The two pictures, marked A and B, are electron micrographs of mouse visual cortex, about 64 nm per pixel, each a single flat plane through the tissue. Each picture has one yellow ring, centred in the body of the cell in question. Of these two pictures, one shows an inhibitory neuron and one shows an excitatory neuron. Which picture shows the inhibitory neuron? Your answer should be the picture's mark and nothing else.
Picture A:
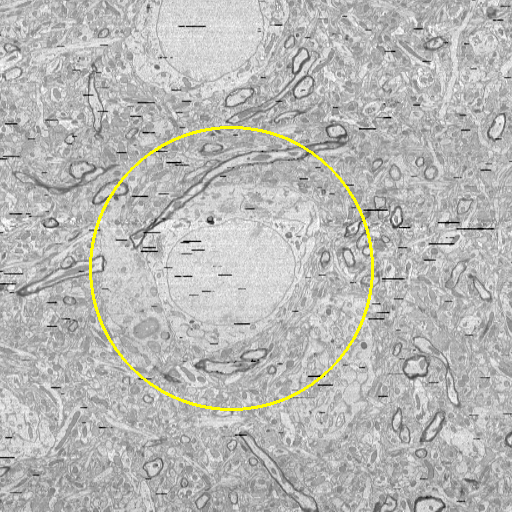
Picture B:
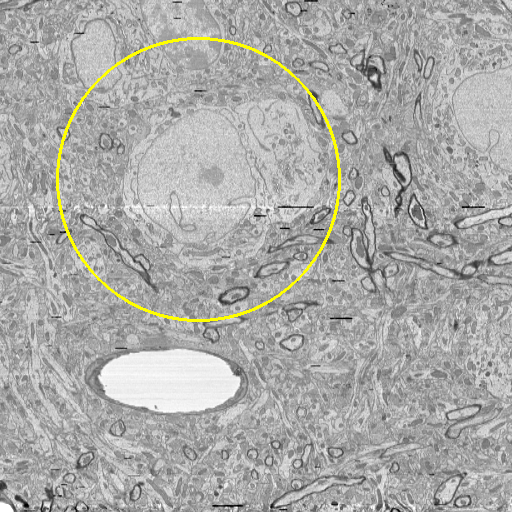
B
